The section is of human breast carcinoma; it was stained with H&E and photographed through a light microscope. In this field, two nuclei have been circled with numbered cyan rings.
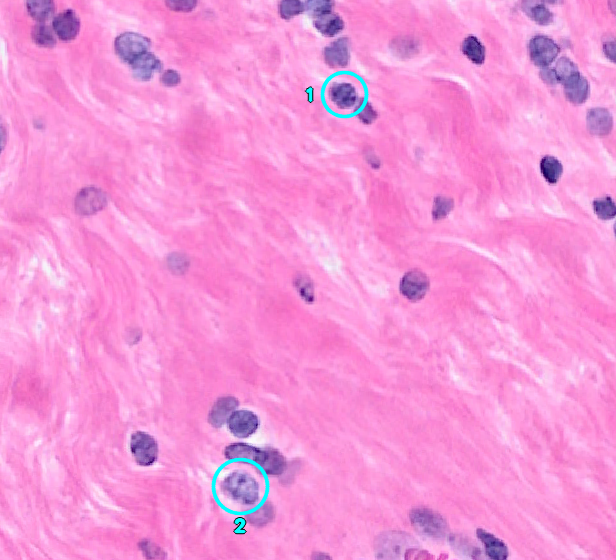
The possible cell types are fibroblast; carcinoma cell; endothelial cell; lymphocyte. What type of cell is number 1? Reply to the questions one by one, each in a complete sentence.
Cell 1 of the marked set is a lymphocyte.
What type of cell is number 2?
Regarding cell 2, this one is a carcinoma cell.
